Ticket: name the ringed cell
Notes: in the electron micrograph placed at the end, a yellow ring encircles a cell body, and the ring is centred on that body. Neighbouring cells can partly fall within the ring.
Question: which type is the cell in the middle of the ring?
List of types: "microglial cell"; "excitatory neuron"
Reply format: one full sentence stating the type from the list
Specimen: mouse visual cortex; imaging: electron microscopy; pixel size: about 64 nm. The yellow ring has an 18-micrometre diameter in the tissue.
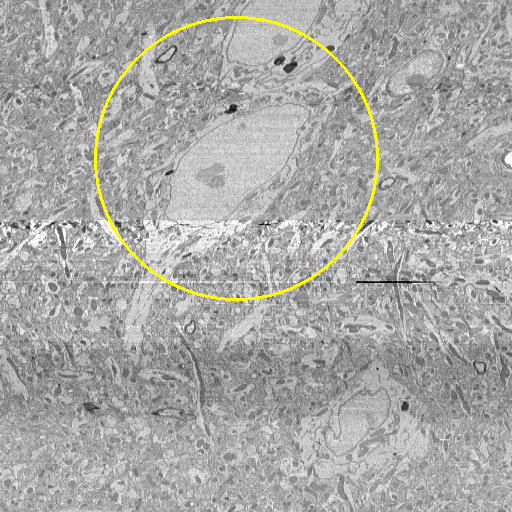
The cell sitting at the centre of the yellow ring is an excitatory neuron.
